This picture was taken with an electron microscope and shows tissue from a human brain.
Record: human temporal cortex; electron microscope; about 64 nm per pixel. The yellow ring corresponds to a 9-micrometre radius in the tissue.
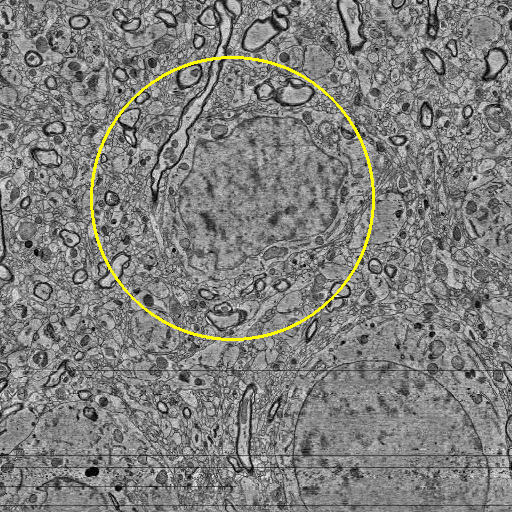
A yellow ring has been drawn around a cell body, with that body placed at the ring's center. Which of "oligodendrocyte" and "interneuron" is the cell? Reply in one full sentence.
In this picture, an interneuron is the cell at the center of the yellow ring.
